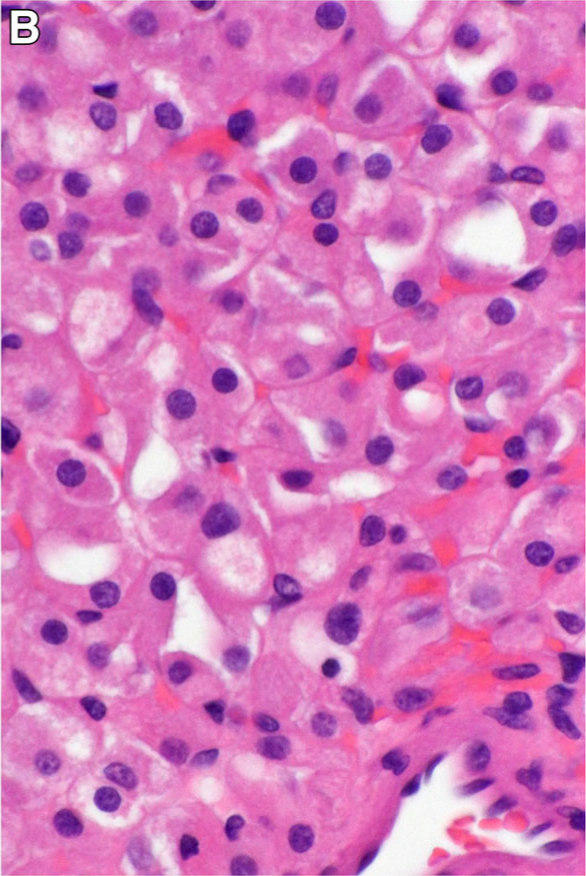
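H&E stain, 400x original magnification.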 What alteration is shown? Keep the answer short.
Abundant eosinophilic cytoplasm that is partially vacuolated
